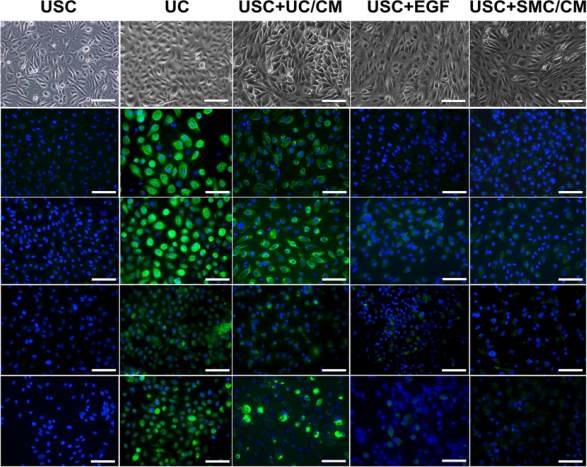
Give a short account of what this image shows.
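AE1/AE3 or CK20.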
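A grid of small images of cultured cells: the top row shows cells in grey phase contrast, and the rows below show round blue nuclei scattered across each field. In some fields the cells are tightly packed, polygonal and cobblestone-like, and many carry bright green cytoplasm around the blue nuclei. In other fields the cells are more elongated and spread, with little or no green around their nuclei.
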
